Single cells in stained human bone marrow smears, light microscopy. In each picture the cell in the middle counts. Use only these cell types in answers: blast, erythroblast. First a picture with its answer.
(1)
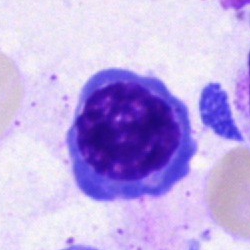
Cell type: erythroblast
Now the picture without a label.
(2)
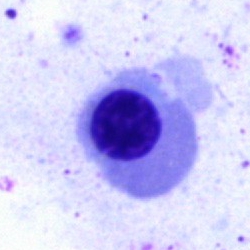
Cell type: erythroblast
